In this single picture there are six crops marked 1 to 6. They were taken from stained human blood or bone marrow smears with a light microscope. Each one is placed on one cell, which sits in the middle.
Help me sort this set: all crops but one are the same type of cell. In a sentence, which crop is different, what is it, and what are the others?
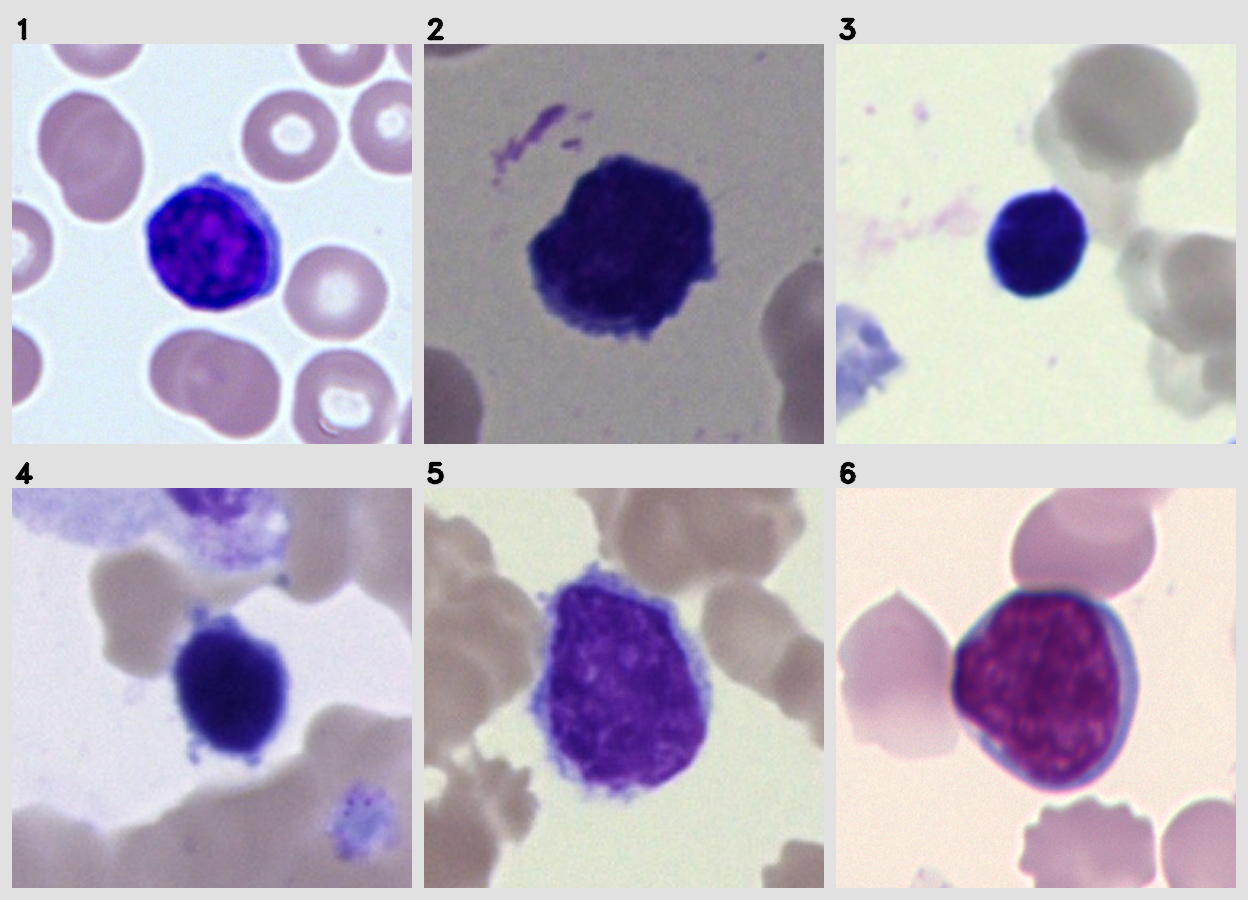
The exception in this group is crop 2, a blast, and the others are all lymphocytes.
